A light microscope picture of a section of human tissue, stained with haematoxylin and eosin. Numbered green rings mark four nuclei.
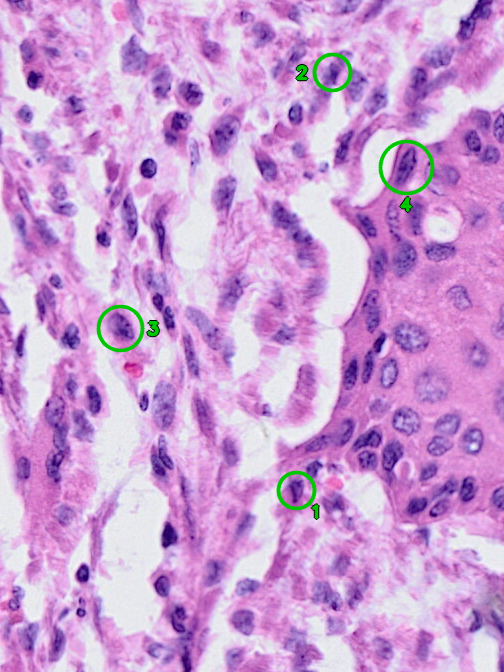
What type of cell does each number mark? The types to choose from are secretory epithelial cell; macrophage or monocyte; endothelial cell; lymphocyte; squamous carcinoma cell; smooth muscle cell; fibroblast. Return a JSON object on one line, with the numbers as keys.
{"1": "macrophage or monocyte", "2": "fibroblast", "3": "macrophage or monocyte", "4": "squamous carcinoma cell"}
